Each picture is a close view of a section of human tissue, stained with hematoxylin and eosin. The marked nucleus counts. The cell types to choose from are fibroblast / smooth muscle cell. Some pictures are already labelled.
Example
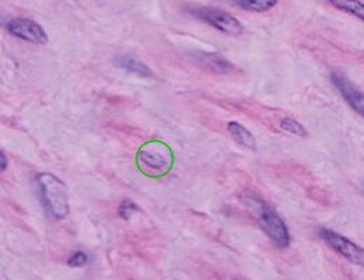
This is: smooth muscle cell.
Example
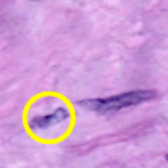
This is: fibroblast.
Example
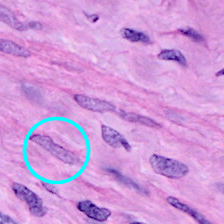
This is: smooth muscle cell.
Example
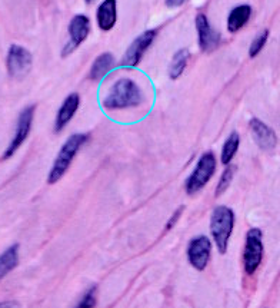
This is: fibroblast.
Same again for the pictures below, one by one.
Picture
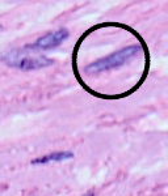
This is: fibroblast.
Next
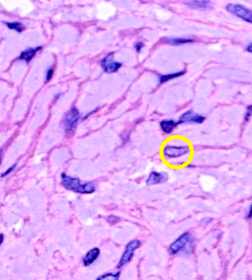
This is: fibroblast.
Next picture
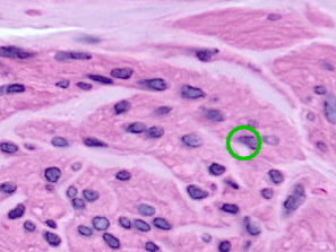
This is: smooth muscle cell.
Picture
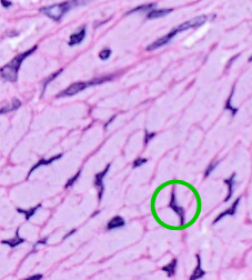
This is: fibroblast.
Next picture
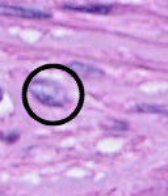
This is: fibroblast.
